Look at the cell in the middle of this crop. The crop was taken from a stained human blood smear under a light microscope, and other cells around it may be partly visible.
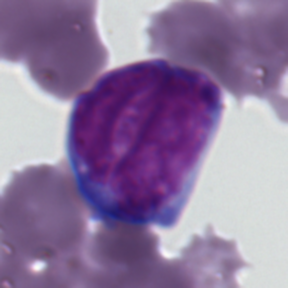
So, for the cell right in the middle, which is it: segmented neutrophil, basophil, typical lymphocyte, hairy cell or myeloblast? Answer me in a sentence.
The cell marked by its central position in the crop is a myeloblast.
